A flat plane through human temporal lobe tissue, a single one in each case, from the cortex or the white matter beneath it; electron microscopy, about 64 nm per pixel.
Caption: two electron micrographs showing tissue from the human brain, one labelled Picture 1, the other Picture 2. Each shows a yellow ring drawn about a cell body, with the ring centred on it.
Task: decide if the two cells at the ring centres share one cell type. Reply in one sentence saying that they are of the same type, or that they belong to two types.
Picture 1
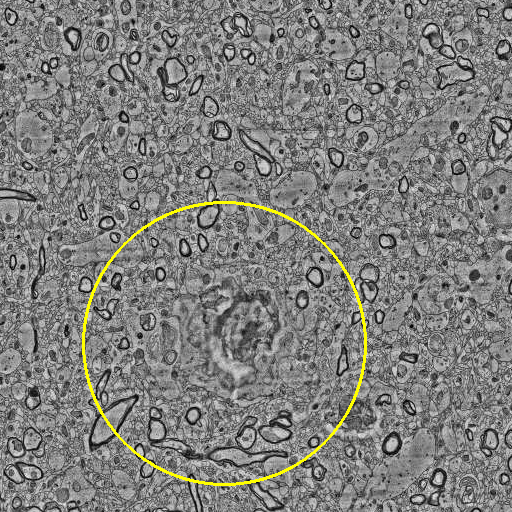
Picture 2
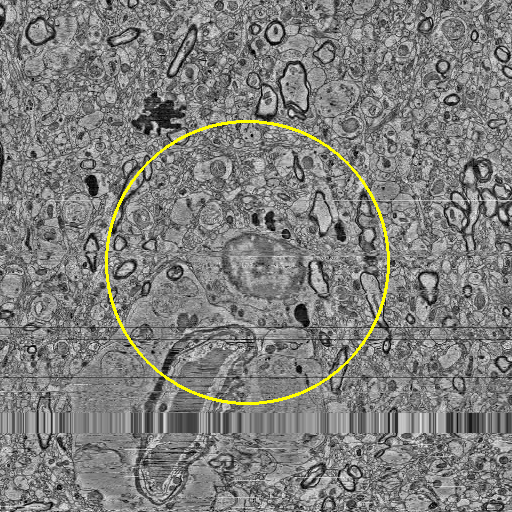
The cells at the ring centres in Picture 1 and Picture 2 belong to two types.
